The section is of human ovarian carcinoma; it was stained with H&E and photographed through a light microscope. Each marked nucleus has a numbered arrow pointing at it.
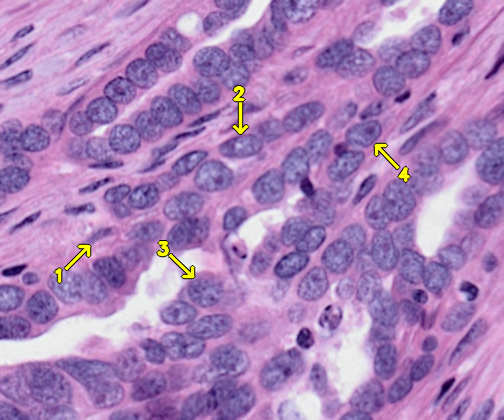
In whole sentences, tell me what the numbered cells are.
Cell 1 is a fibroblast. Cells 2, 3 and 4 are carcinoma cells.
